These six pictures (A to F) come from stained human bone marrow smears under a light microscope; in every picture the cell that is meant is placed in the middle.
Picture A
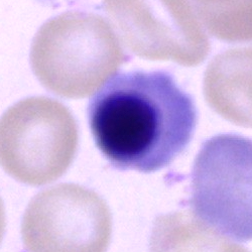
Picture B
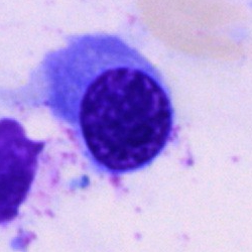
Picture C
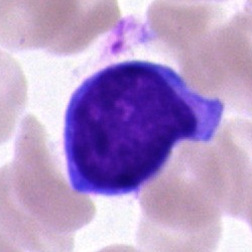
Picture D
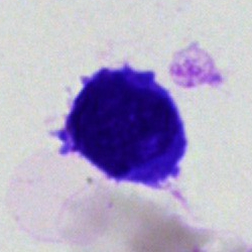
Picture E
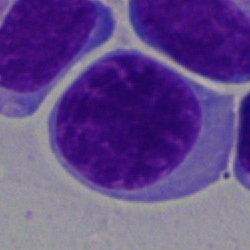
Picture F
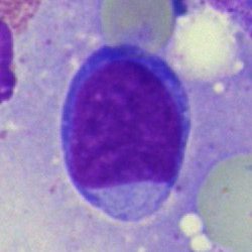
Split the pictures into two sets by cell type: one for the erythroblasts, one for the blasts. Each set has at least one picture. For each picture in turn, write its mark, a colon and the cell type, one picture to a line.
A: erythroblast
B: erythroblast
C: blast
D: blast
E: blast
F: blast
